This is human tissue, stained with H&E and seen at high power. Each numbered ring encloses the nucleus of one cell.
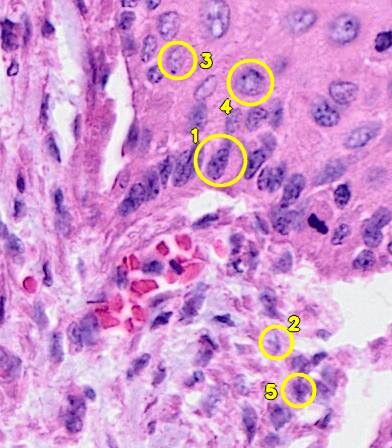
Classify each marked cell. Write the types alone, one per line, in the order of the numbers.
squamous carcinoma cell
fibroblast
squamous carcinoma cell
squamous carcinoma cell
fibroblast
